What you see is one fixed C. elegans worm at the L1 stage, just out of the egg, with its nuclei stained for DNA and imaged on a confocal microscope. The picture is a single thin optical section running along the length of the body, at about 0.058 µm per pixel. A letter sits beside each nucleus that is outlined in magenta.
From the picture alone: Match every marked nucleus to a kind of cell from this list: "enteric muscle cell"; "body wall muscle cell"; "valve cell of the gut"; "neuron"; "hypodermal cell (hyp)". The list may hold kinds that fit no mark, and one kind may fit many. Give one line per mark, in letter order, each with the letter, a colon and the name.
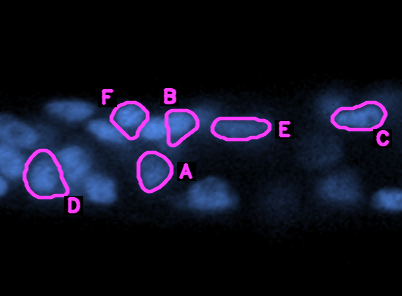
A: valve cell of the gut
B: neuron
C: body wall muscle cell
D: neuron
E: enteric muscle cell
F: neuron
